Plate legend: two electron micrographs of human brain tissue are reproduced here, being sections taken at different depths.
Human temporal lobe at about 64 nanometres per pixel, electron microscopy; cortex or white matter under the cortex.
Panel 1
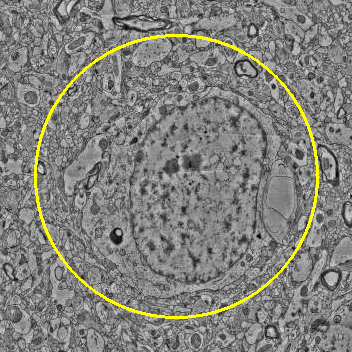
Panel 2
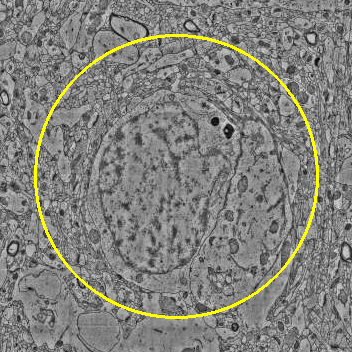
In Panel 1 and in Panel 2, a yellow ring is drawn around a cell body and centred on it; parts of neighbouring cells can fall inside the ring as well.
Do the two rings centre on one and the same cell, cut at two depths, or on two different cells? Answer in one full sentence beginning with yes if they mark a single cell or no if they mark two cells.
No, the two rings were placed on two different cells.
